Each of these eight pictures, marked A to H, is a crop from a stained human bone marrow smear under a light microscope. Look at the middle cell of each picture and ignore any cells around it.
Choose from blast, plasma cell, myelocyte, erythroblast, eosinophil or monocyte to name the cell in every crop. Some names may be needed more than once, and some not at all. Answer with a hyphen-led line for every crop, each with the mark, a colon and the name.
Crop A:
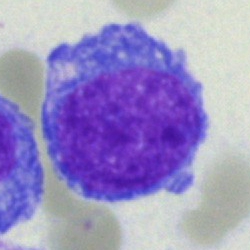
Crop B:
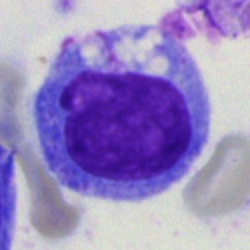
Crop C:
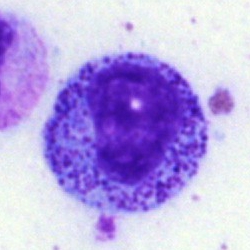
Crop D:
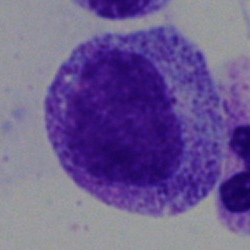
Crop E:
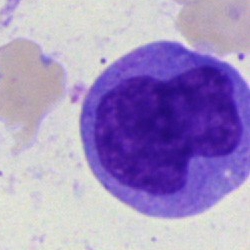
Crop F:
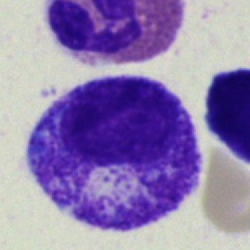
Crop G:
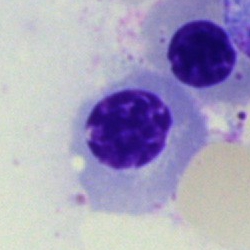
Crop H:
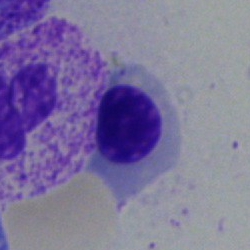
- A: blast
- B: monocyte
- C: myelocyte
- D: myelocyte
- E: monocyte
- F: myelocyte
- G: erythroblast
- H: erythroblast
